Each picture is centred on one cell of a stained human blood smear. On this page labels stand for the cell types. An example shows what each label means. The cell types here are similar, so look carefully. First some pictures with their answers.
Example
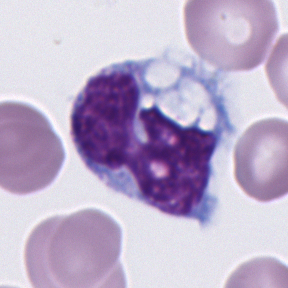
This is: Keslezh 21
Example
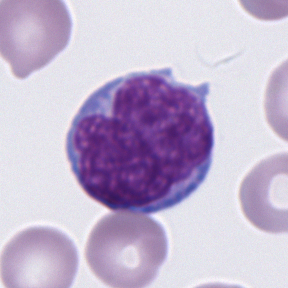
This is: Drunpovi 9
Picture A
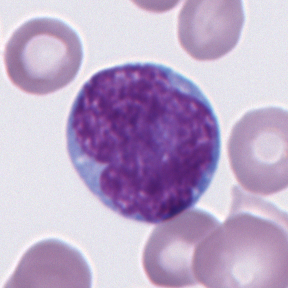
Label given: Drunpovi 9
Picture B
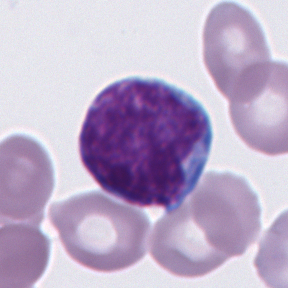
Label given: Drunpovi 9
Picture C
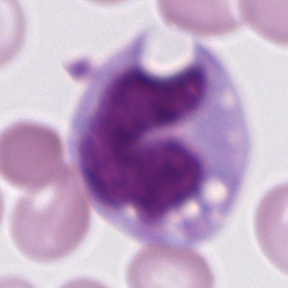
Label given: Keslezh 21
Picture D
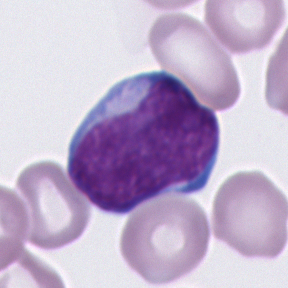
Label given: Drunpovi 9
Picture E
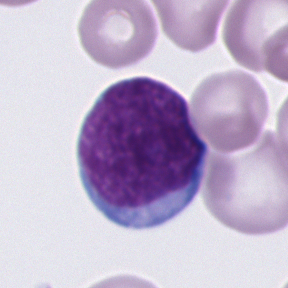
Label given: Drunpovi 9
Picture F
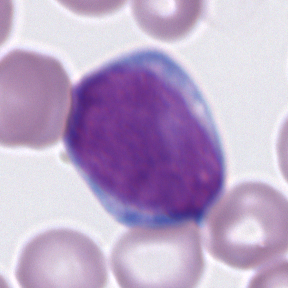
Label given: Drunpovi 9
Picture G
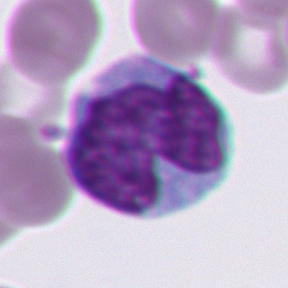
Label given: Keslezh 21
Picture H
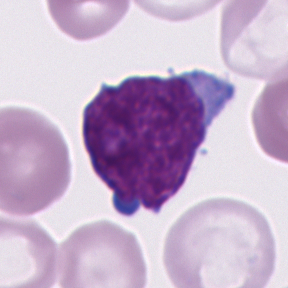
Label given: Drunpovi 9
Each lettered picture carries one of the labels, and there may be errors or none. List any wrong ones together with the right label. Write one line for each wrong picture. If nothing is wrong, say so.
All correct.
